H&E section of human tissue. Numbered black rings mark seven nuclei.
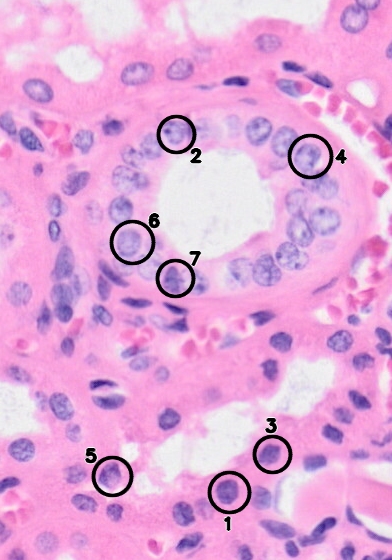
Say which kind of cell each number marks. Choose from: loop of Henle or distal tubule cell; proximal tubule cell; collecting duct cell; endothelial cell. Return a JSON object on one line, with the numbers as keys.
{"1": "loop of Henle or distal tubule cell", "2": "collecting duct cell", "3": "loop of Henle or distal tubule cell", "4": "collecting duct cell", "5": "loop of Henle or distal tubule cell", "6": "collecting duct cell", "7": "collecting duct cell"}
